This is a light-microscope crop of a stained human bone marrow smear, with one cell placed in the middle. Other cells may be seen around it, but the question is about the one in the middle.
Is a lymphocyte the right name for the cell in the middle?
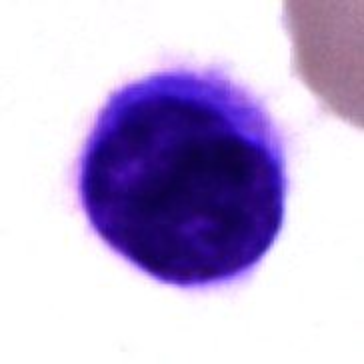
yes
